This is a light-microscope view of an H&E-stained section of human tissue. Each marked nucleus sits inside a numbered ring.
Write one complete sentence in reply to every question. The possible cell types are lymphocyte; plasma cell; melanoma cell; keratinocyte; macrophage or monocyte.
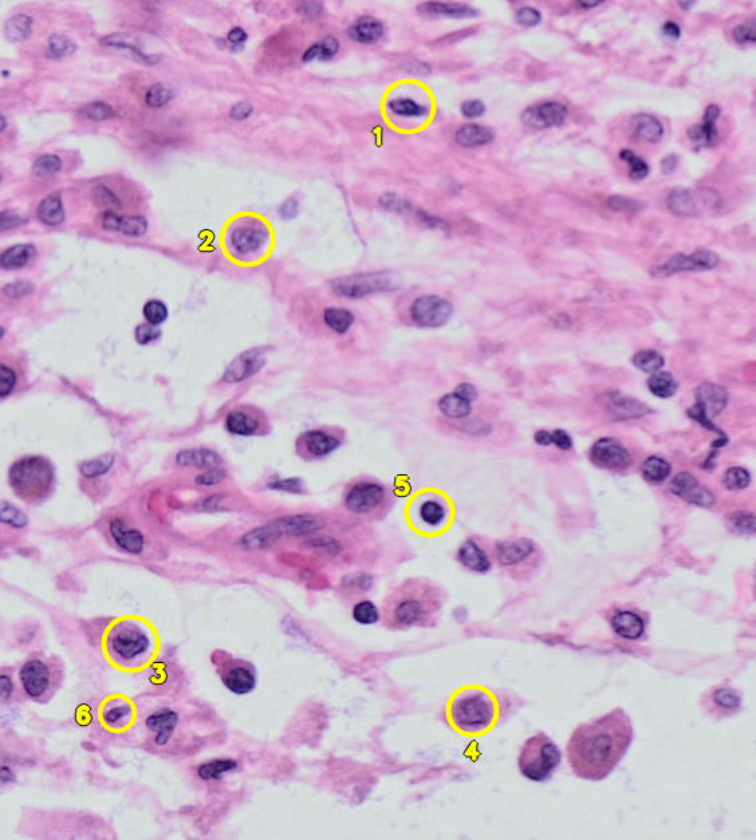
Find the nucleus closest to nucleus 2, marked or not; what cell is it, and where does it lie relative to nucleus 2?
The nearest nucleus is that of a lymphocyte and lies above and to the right of nucleus 2.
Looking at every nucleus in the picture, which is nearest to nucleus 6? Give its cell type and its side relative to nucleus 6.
A macrophage or monocyte lies closest, to the right of nucleus 6.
